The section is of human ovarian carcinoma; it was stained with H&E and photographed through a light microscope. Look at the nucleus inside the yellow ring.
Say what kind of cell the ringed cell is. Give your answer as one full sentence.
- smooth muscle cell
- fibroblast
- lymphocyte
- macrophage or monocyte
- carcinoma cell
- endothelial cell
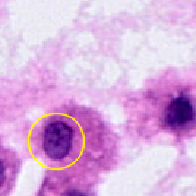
Assigned to a cell type, the ringed cell is a macrophage or monocyte.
